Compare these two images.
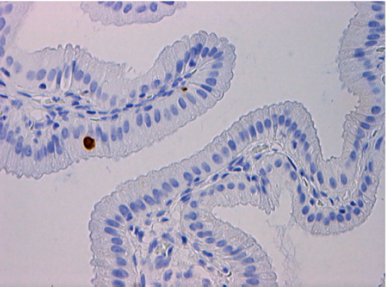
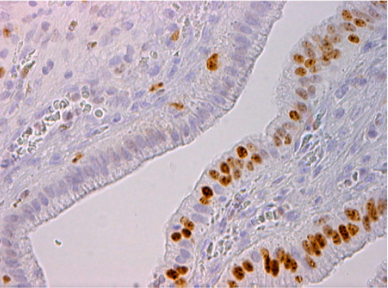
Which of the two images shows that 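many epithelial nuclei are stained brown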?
the second image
